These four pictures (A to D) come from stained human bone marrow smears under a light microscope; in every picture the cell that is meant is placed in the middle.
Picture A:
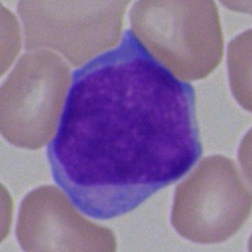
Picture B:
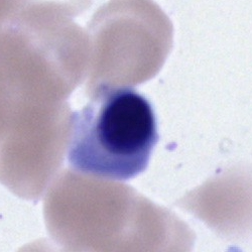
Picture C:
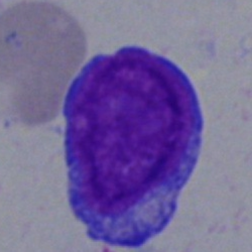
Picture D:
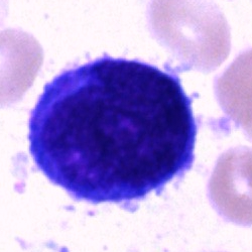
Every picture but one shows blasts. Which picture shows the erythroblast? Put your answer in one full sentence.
The picture with the erythroblast is B.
